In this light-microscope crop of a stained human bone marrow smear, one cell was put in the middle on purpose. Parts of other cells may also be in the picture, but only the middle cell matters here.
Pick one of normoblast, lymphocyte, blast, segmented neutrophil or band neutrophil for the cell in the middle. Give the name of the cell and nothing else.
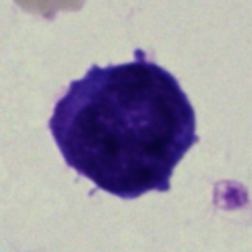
blast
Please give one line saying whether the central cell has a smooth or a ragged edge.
The margin of this cell is irregular, showing raggedness or projections instead of smoothness.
